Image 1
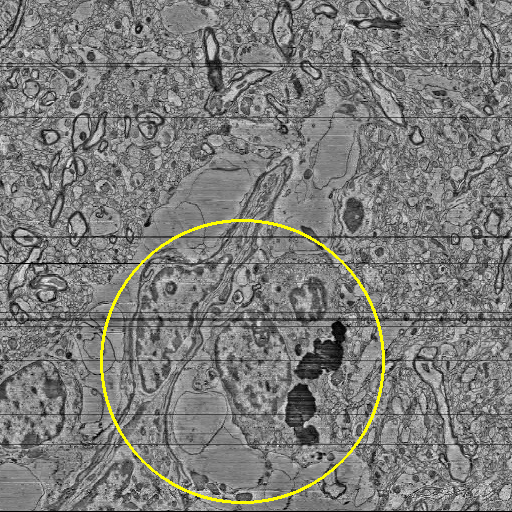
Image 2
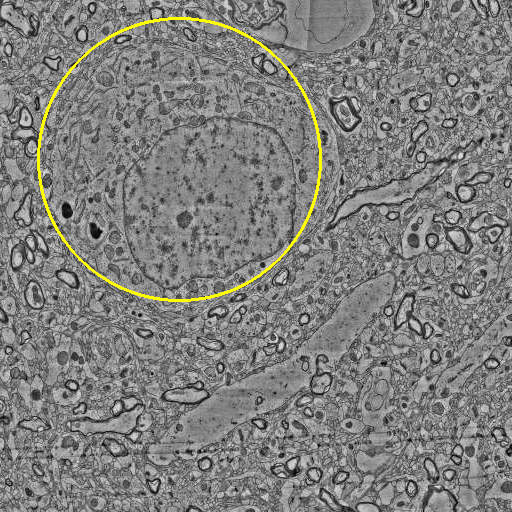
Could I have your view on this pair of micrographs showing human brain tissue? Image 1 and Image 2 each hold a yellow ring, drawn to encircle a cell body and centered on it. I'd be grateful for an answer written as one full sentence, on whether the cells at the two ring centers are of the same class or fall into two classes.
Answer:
The cells at the centers of the two rings fall into two classes.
